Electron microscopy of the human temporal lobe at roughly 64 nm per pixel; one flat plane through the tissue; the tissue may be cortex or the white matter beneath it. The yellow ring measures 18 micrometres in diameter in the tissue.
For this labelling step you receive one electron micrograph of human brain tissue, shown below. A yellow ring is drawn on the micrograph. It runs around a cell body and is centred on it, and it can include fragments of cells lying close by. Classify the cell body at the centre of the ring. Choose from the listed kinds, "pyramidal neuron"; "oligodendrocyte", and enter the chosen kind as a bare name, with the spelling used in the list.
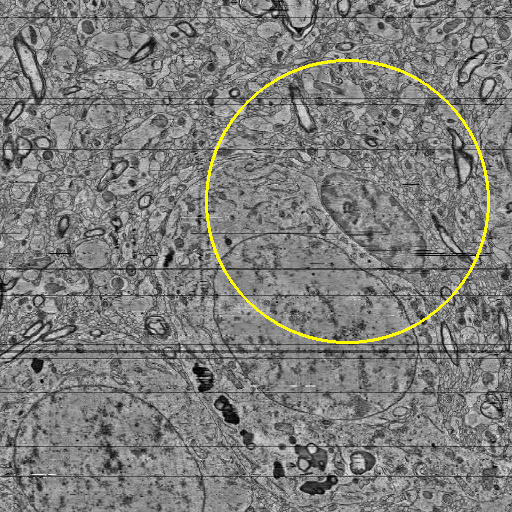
oligodendrocyte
